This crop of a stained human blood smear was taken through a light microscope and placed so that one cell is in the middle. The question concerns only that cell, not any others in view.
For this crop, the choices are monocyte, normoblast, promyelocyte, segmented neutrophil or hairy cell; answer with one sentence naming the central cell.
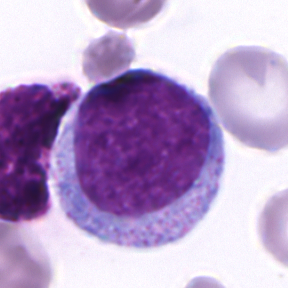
Standing at the centre of this crop is a promyelocyte.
